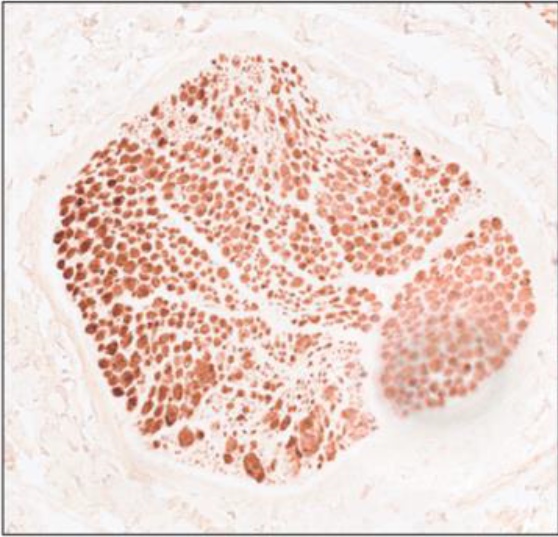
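This is a nerve cut across, with many small round nerve fiber profiles stained brown and packed densely in a fascicle. The fascicle is surrounded by a pale connective tissue sheath, and thin pale septa run between groups of fibers; the area at the right is out of focus.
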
